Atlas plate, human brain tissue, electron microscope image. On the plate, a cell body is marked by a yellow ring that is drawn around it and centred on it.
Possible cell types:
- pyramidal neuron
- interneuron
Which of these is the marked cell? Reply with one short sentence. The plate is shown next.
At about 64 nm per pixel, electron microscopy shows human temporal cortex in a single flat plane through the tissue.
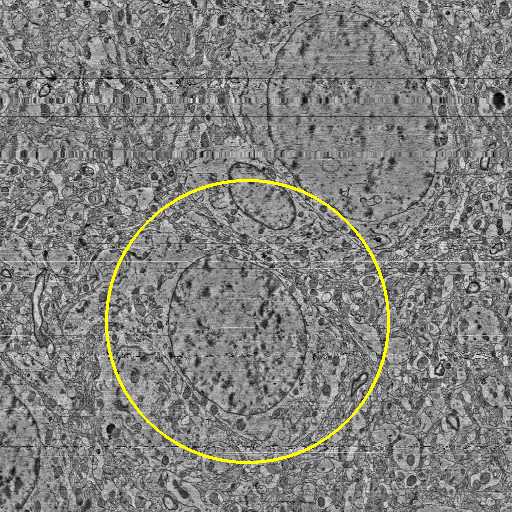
The marked cell is a pyramidal neuron.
